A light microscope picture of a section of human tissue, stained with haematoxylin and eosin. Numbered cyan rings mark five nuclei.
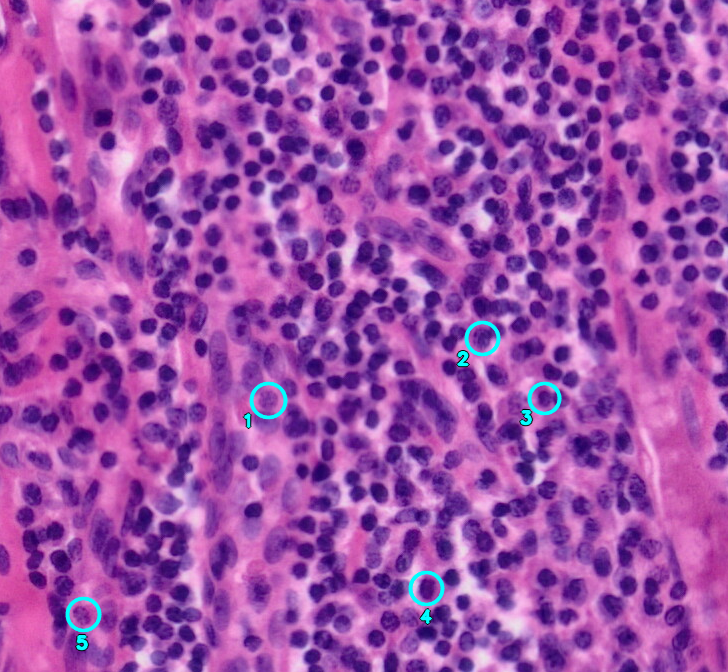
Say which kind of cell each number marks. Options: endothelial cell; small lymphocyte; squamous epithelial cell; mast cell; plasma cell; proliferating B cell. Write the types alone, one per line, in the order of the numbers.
endothelial cell
plasma cell
plasma cell
plasma cell
endothelial cell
